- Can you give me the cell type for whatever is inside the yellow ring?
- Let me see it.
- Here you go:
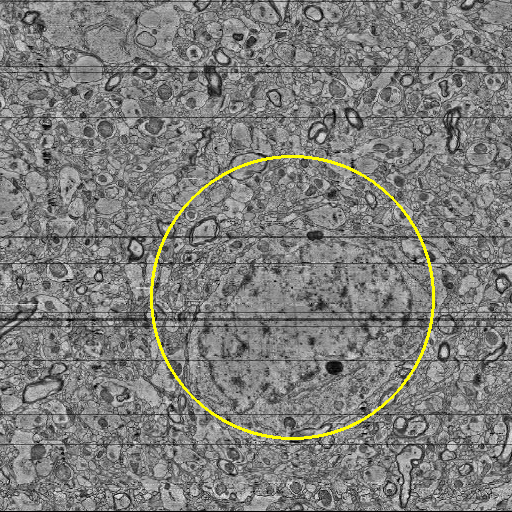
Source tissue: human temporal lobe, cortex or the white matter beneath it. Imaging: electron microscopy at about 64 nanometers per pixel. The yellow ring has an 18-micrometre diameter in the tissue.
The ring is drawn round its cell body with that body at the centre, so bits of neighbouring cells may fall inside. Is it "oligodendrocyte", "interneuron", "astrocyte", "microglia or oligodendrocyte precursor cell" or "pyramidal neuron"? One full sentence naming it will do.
The cell body in the middle of the ring in this picture belongs to an interneuron.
